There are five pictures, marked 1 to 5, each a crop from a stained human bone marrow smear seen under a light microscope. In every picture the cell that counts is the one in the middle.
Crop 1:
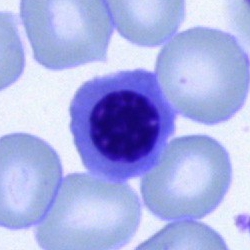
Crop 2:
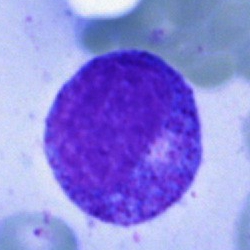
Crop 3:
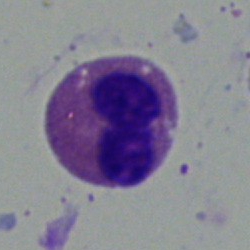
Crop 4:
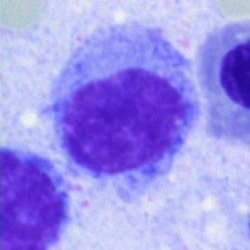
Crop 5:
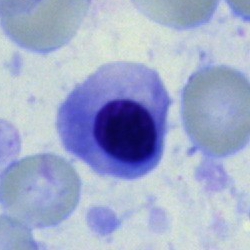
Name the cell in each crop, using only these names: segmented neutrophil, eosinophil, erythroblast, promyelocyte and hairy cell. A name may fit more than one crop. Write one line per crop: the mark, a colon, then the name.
1: erythroblast
2: promyelocyte
3: eosinophil
4: hairy cell
5: erythroblast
